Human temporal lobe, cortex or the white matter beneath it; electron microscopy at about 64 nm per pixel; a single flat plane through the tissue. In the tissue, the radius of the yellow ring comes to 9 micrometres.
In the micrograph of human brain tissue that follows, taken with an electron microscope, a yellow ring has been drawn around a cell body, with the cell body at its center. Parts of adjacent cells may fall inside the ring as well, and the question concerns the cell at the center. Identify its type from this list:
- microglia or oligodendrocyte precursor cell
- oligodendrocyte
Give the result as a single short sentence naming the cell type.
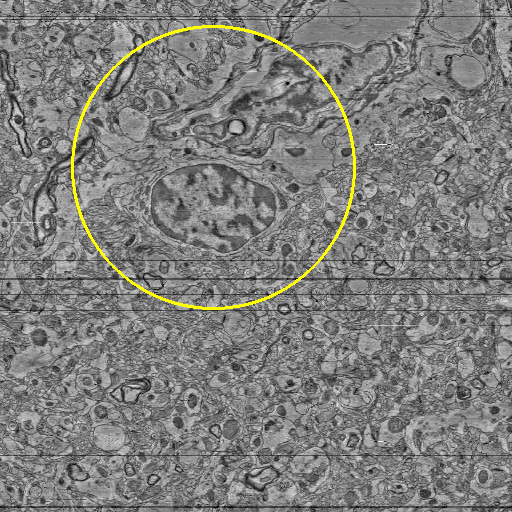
The ring is centered on a microglial cell or oligodendrocyte precursor cell.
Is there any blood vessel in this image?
Yes, one shows.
